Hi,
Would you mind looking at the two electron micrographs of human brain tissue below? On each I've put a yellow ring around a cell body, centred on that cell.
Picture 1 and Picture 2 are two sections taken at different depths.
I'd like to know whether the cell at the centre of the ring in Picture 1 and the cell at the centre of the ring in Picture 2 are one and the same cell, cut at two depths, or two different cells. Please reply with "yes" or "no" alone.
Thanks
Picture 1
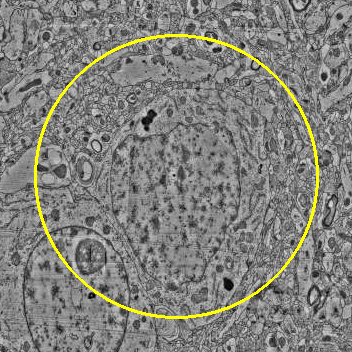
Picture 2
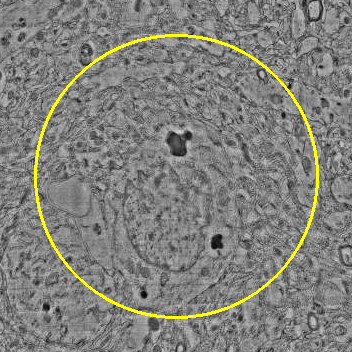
yes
